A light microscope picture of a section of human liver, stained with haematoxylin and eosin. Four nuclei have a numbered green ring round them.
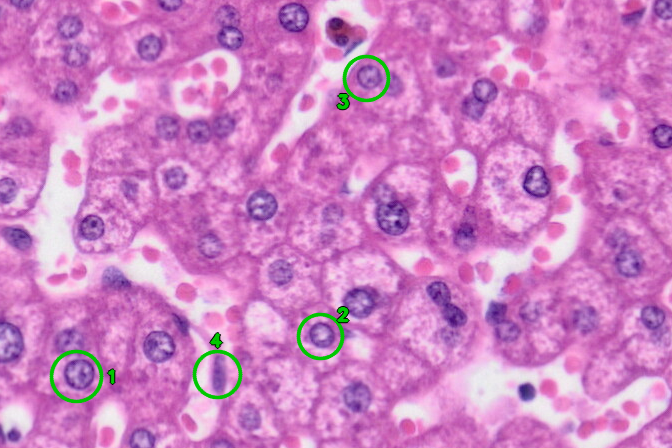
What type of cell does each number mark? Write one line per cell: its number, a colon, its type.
1: hepatocyte
2: hepatocyte
3: hepatocyte
4: Kupffer cell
